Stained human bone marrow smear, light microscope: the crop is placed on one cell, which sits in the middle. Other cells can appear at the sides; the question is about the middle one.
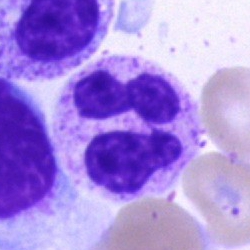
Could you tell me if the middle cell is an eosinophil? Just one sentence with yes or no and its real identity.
No, the centre cell counts as a segmented neutrophil, not as an eosinophil.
